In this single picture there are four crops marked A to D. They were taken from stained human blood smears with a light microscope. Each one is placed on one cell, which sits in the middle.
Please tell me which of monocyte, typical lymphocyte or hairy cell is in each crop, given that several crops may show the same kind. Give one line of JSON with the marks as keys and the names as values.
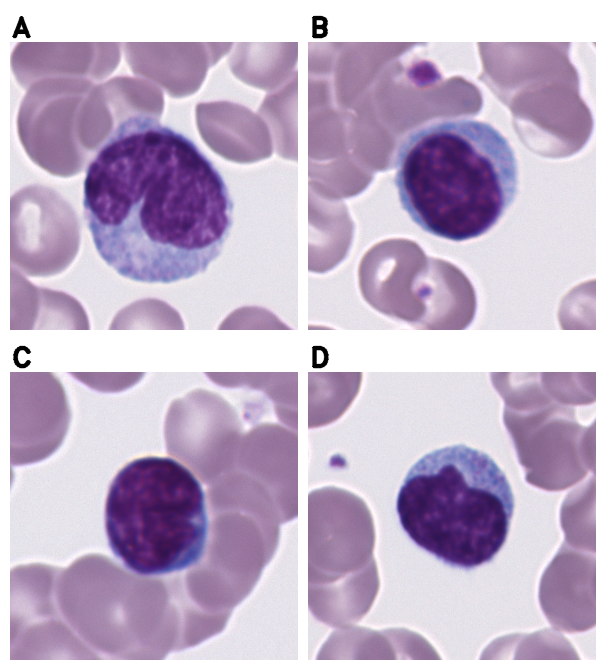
{"A": "monocyte", "B": "typical lymphocyte", "C": "typical lymphocyte", "D": "typical lymphocyte"}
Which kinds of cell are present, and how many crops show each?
typical lymphocyte: 3
monocyte: 1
